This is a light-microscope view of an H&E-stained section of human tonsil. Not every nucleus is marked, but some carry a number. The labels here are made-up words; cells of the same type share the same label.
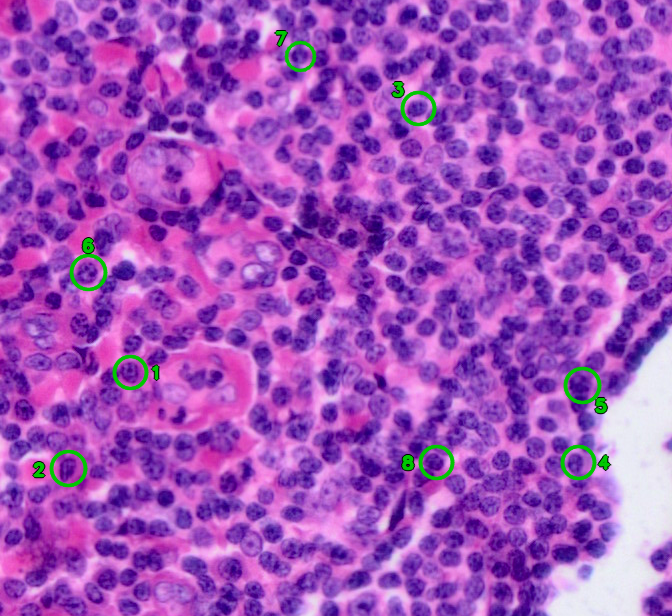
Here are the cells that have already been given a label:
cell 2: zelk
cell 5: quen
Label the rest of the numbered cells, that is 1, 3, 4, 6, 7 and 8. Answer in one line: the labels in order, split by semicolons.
zelk; quen; quen; zelk; quen; quen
